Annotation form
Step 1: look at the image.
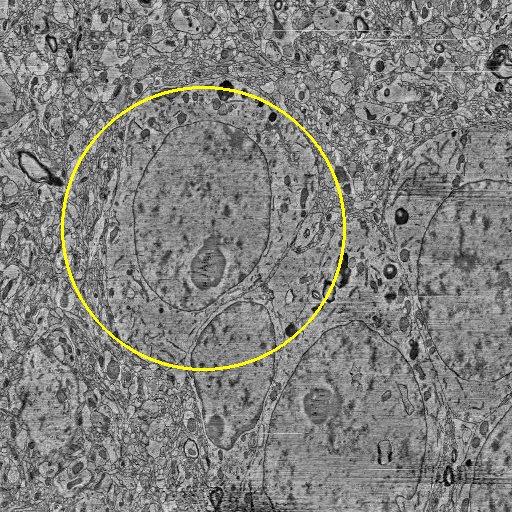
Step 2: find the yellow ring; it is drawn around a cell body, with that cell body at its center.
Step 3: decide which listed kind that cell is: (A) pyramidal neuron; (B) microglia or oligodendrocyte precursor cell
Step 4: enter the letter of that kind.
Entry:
A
